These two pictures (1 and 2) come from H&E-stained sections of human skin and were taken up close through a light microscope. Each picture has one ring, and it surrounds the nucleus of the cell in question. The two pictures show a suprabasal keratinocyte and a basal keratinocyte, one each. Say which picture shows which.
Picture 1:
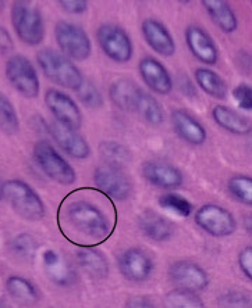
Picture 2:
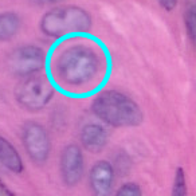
1: suprabasal keratinocyte
2: basal keratinocyte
